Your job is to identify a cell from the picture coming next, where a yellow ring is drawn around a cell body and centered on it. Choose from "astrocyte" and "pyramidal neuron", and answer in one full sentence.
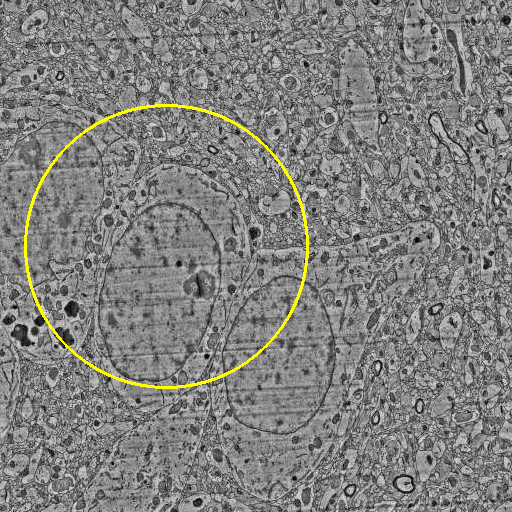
Centered in the yellow ring of the picture is the body of a pyramidal neuron.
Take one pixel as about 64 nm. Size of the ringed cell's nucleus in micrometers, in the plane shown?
The nucleus comes to approximately 12 by 7 micrometres and is clearly longer than it is wide in this plane.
